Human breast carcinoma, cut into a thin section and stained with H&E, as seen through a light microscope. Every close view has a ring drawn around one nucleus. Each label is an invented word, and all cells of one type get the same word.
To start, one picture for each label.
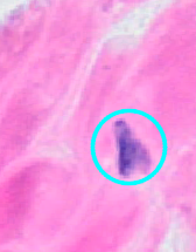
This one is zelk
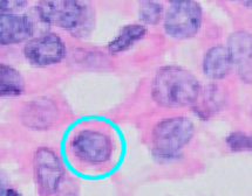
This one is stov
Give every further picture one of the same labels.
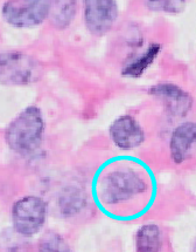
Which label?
stov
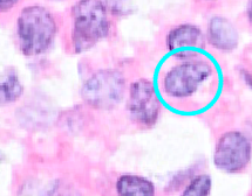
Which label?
stov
